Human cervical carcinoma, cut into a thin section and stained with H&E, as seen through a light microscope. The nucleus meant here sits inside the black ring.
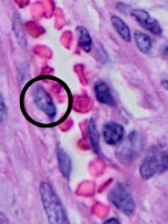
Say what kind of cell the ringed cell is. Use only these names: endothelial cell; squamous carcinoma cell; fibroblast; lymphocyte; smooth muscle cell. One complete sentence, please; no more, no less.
In short, the ringed cell on this section is an endothelial cell.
